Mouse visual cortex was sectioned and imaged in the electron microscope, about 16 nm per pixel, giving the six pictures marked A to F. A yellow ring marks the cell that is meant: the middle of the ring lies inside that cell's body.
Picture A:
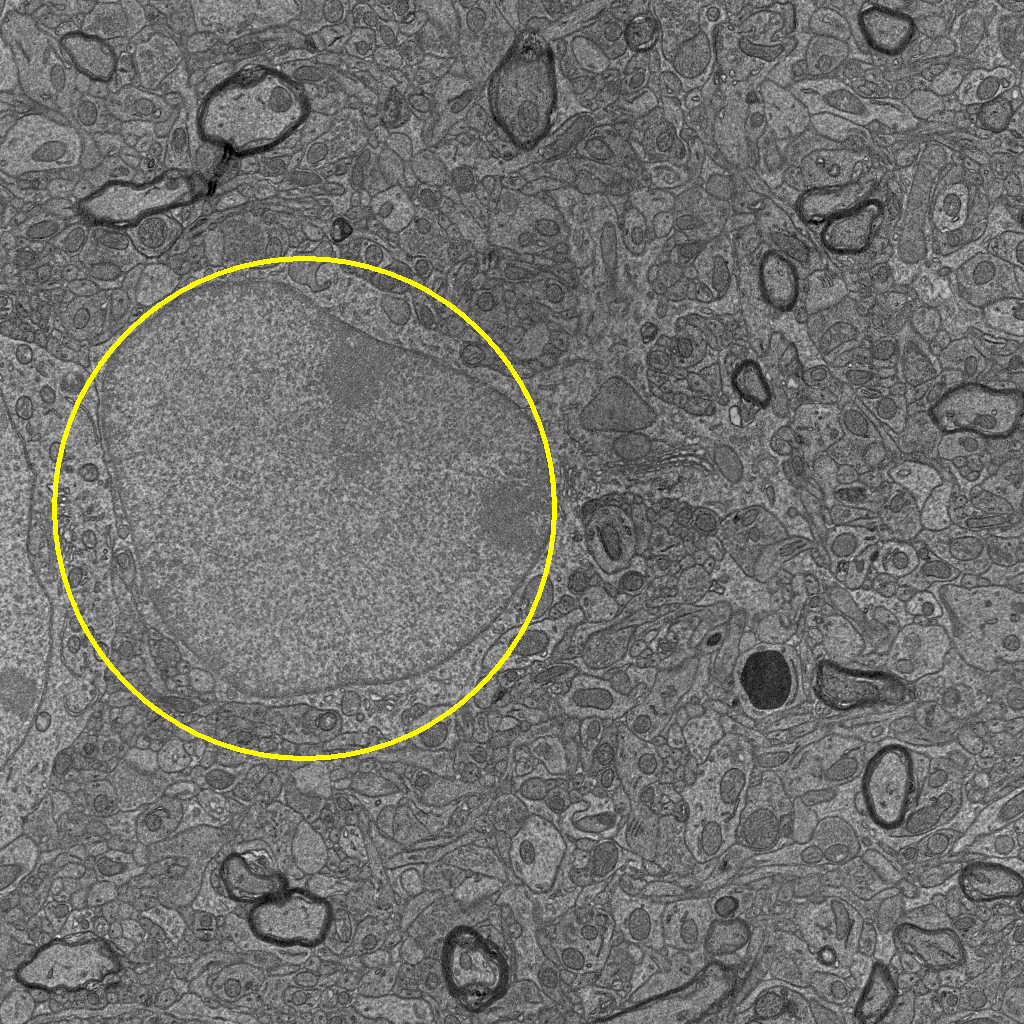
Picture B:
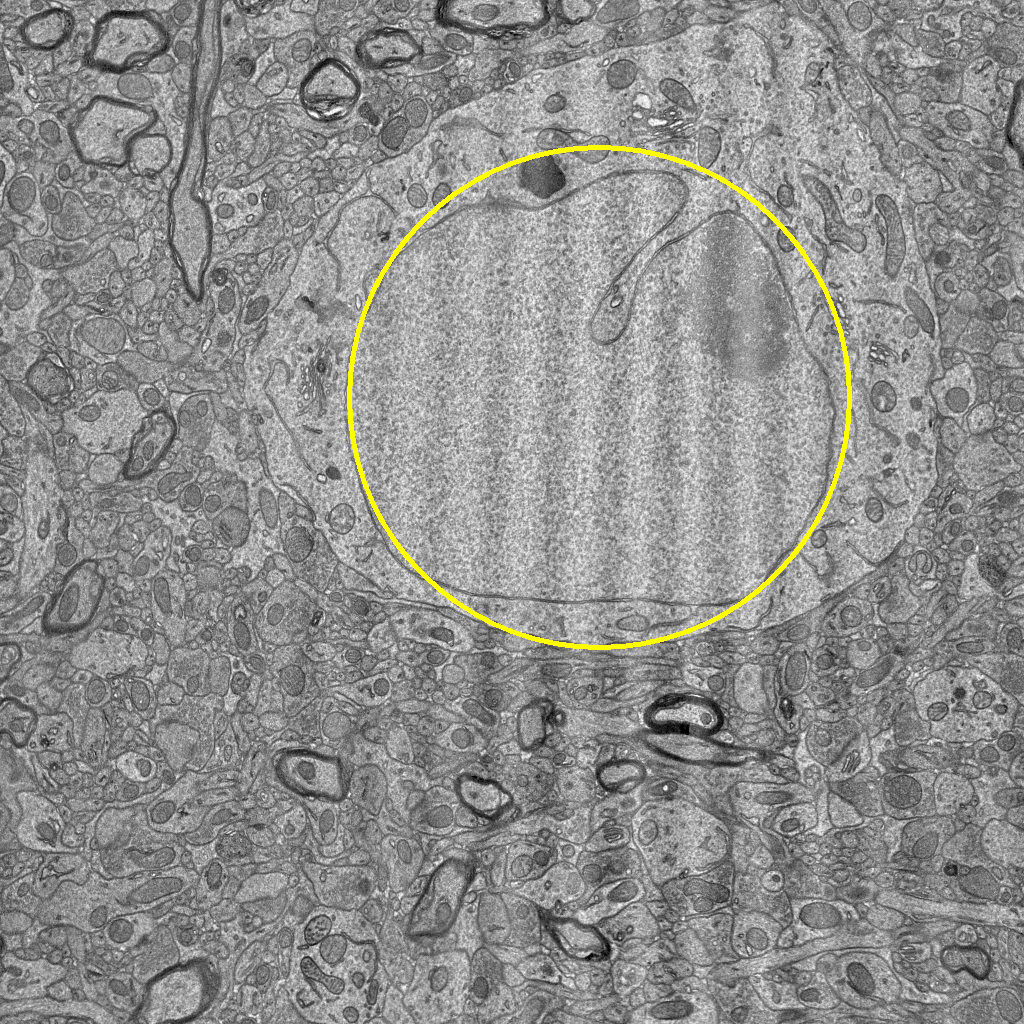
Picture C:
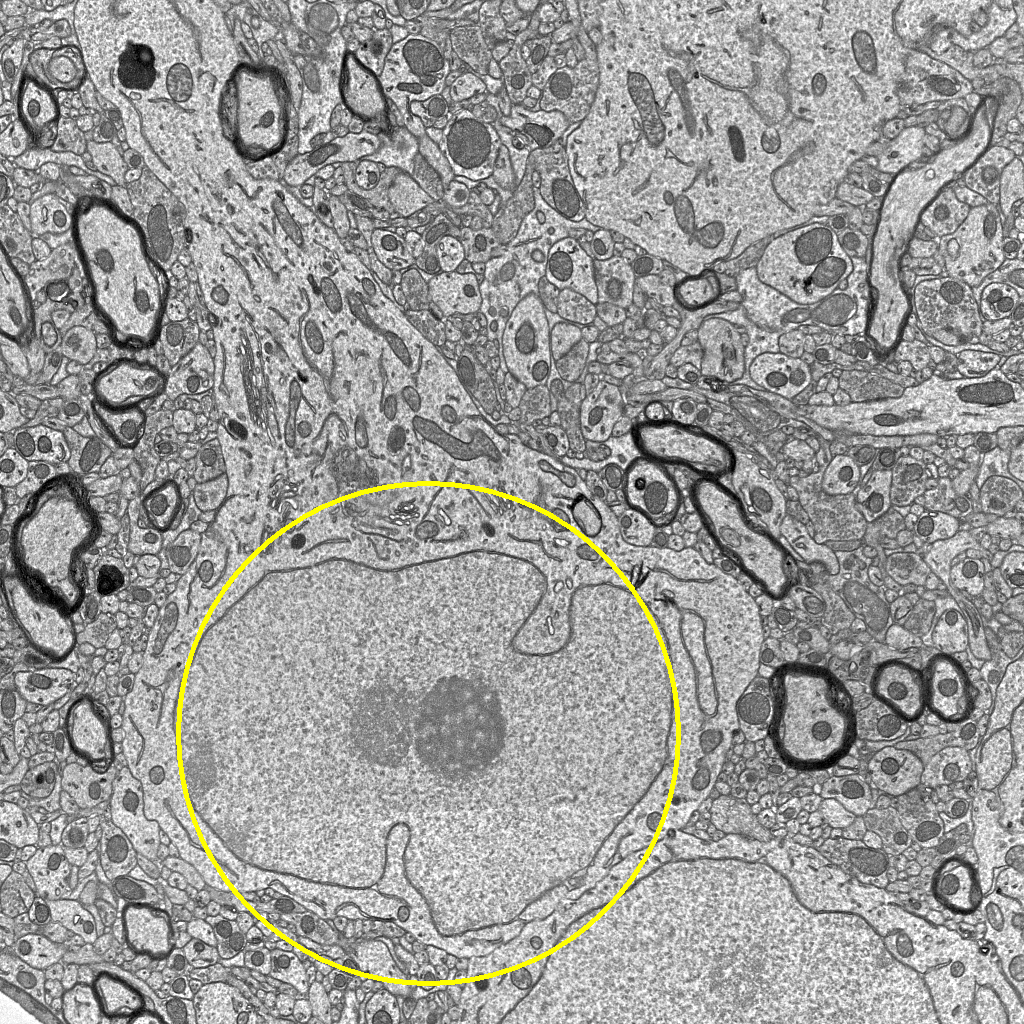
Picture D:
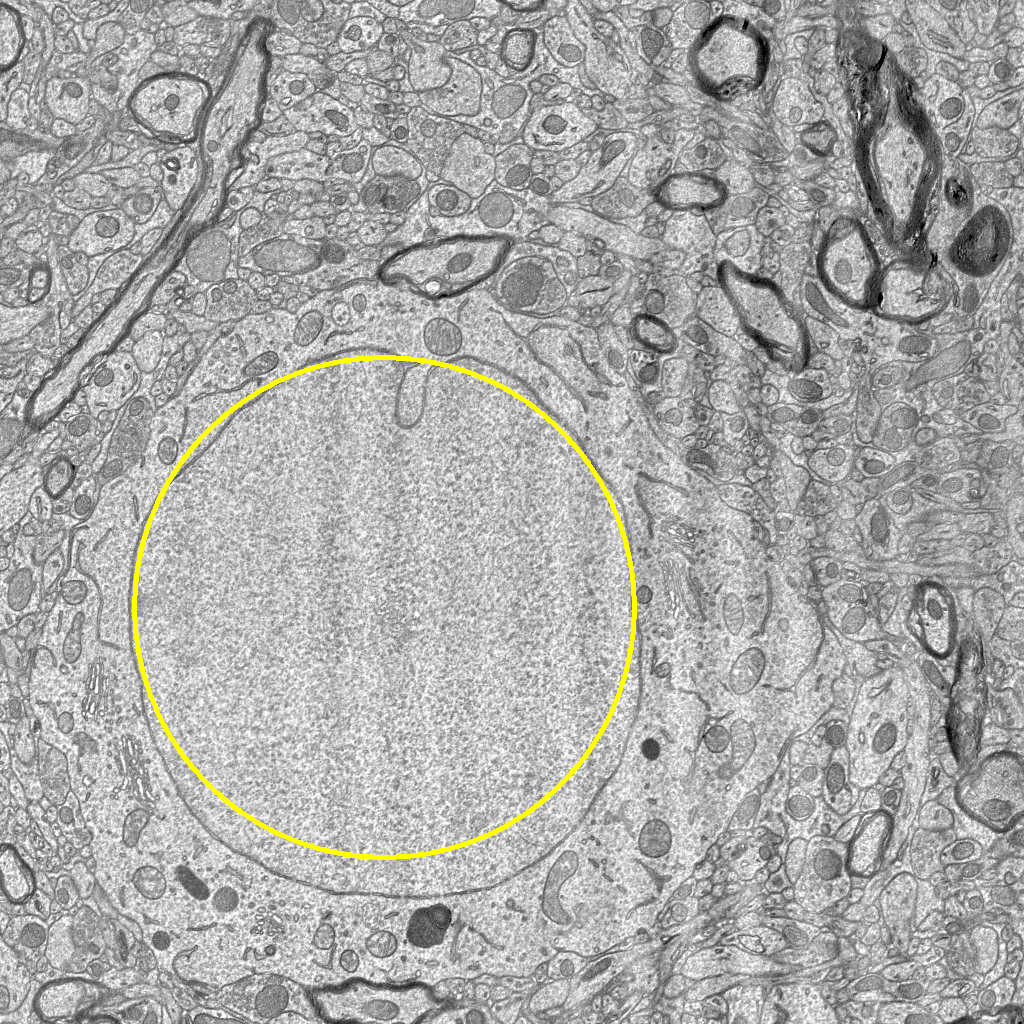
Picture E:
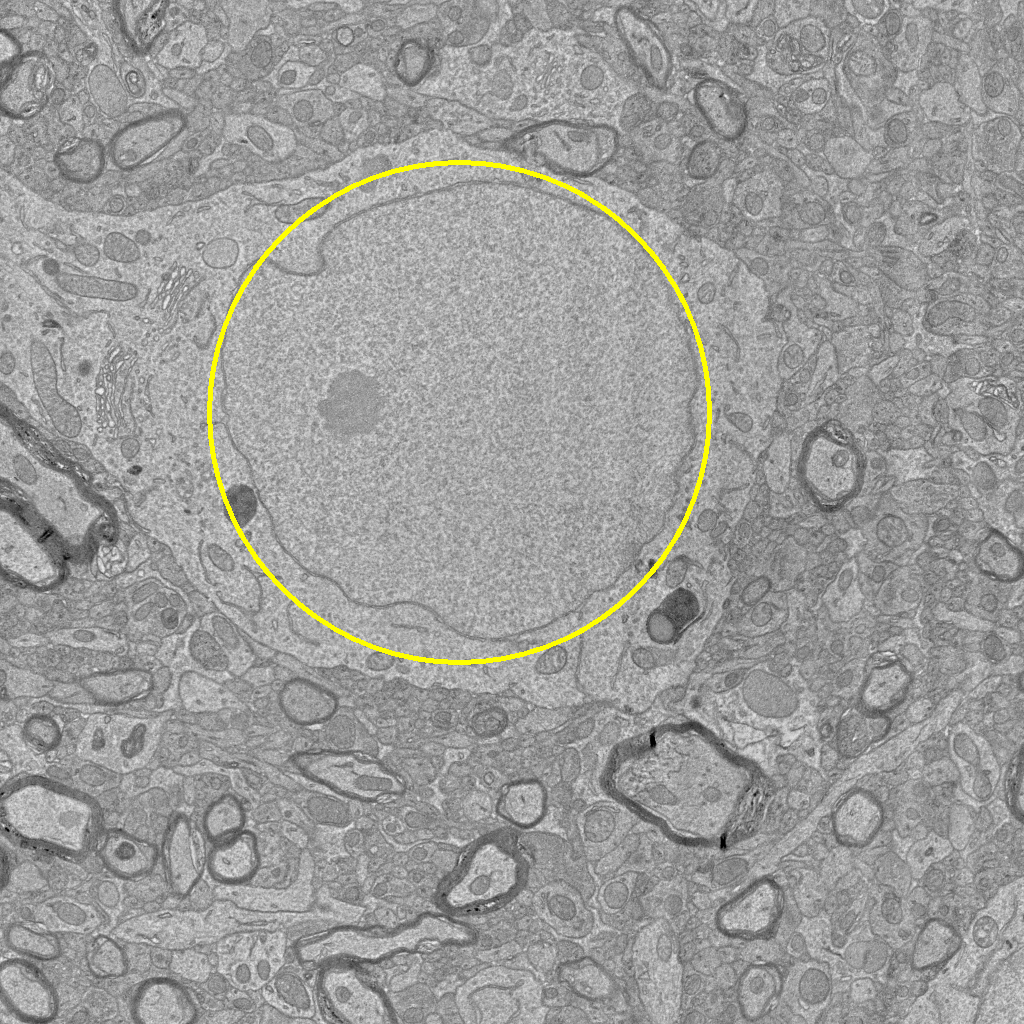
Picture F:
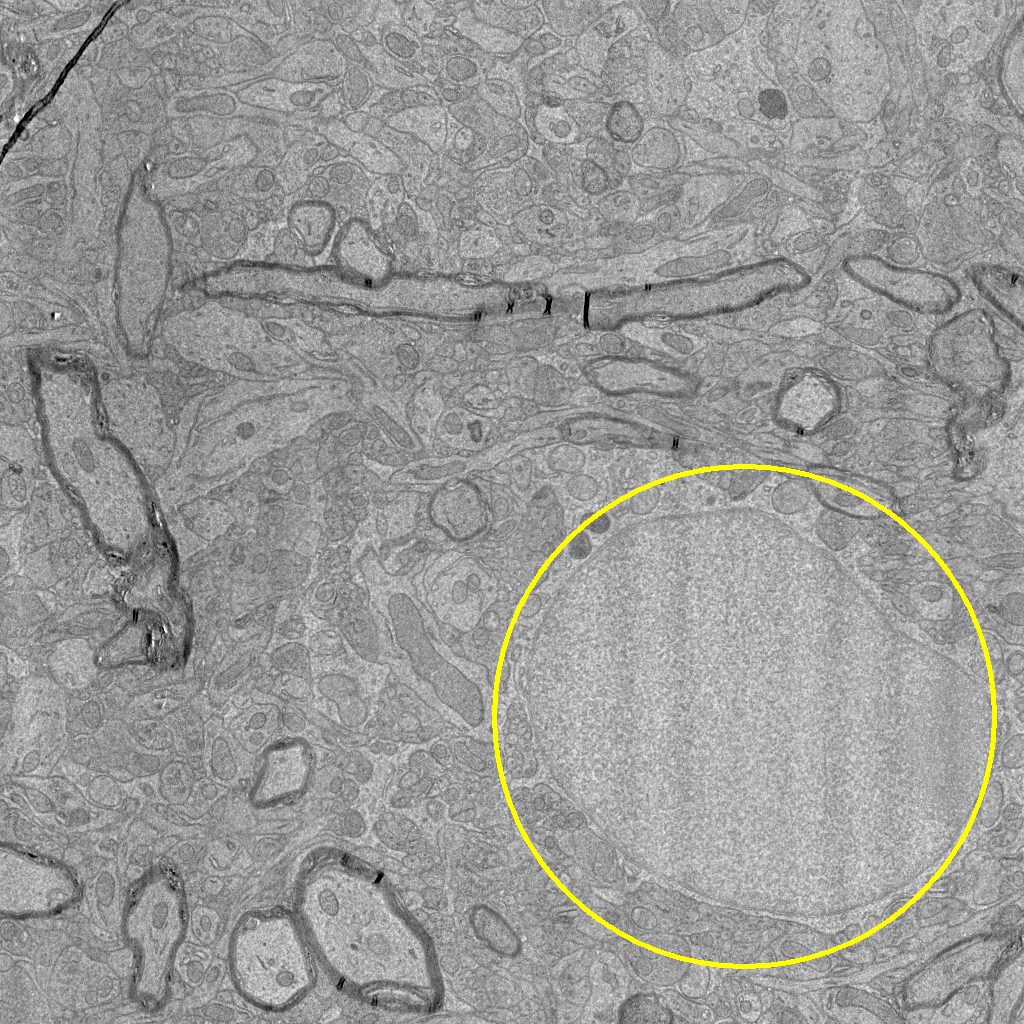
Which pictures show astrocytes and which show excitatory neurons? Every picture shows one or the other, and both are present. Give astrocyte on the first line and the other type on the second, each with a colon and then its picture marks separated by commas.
astrocyte: A, F
excitatory neuron: B, C, D, E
